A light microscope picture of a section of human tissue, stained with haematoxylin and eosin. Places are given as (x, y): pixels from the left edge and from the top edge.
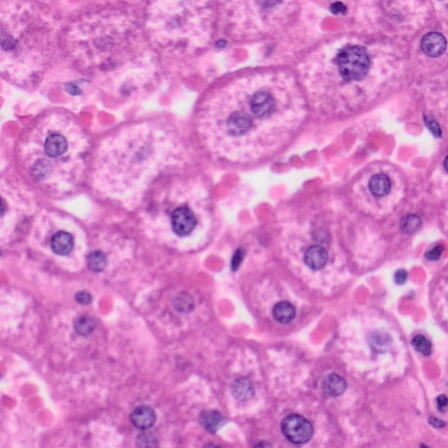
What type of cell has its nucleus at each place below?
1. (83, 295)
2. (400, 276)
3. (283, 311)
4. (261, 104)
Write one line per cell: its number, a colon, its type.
1: lymphocyte
2: lymphocyte
3: hepatocyte
4: hepatocyte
